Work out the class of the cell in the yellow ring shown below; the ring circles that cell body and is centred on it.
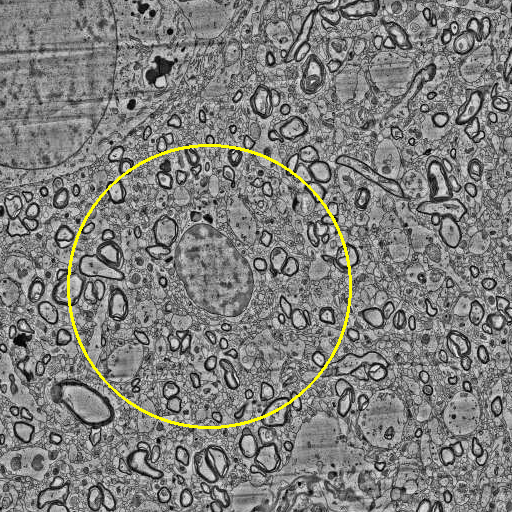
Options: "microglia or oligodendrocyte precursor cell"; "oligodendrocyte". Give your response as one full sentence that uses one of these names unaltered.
The body ringed in yellow, right at the ring's centre, is that of a microglial cell or oligodendrocyte precursor cell.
